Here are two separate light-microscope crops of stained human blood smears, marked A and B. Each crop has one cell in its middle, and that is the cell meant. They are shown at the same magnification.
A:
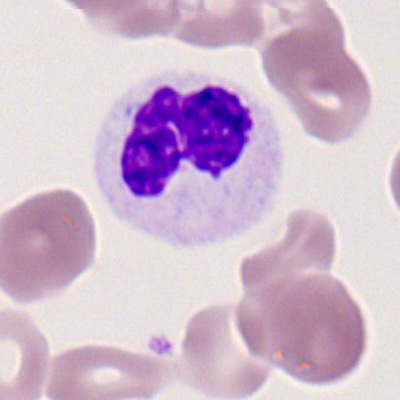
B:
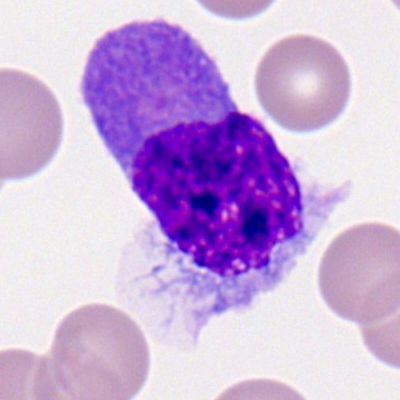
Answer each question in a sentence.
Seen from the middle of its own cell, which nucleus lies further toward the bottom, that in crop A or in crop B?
Seen within its cell, the nucleus in crop B lies further toward the bottom.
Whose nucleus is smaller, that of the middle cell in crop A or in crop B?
Smaller is the nucleus in crop A, and the other is about 2 times as large in area.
